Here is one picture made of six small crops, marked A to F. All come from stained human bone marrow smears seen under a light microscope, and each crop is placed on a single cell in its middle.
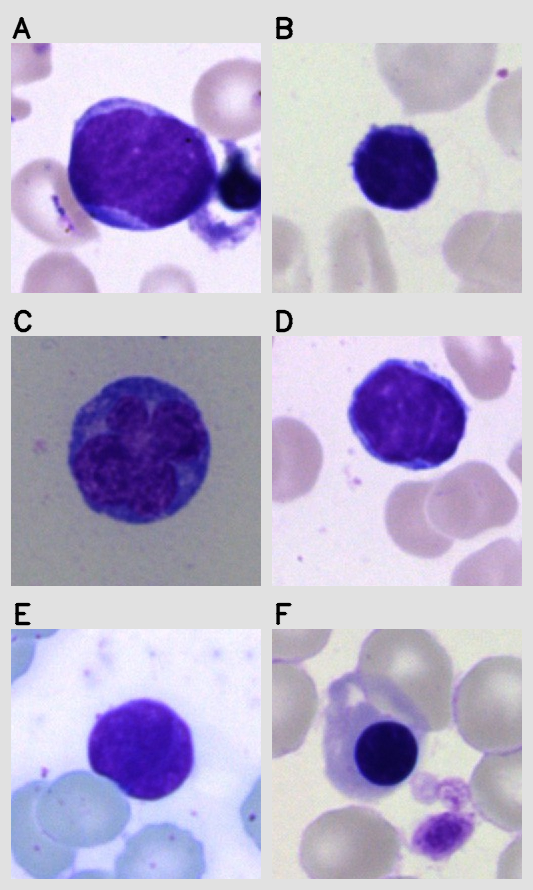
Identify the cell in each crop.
A: blast
B: lymphocyte
C: blast
D: lymphocyte
E: lymphocyte
F: normoblast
